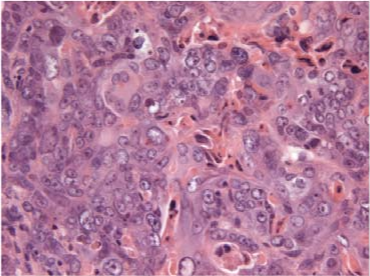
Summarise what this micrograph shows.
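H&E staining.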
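Squamous cell carcinoma composed of large polygonal tumor cells in cohesive nests. The cells have abundant pink cytoplasm, and scattered single cells show dense, bright pink cytoplasm consistent with individual cell keratinization. Nuclei are large, round to oval and vesicular, many with prominent nucleoli, and vary in size. Thin strands of pink stroma with small elongated nuclei run between the nests.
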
